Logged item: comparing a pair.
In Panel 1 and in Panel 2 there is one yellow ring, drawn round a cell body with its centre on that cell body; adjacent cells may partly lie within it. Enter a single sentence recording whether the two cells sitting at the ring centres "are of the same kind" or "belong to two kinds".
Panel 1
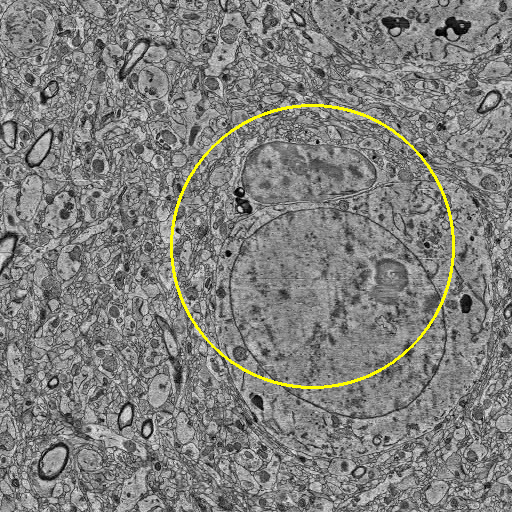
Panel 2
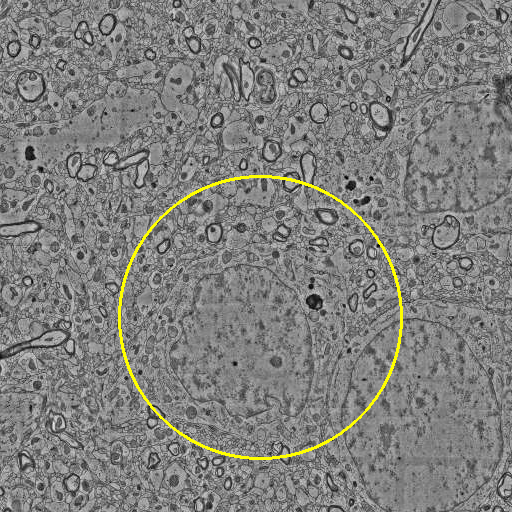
Logged: the cells centred in the rings of Panel 1 and Panel 2 belong to two kinds.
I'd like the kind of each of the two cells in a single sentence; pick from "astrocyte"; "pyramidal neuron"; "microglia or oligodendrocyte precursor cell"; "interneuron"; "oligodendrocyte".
The first ring marks a pyramidal neuron, and the second ring marks an interneuron.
